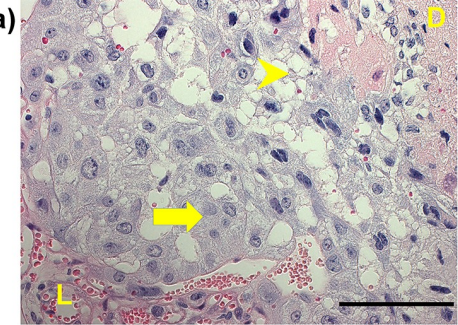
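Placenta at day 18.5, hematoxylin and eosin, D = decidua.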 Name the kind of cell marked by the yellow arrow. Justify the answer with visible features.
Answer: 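The arrow points into a compact mass of polygonal cells with round nuclei and pale purple cytoplasm. These cells lie between the decidua and the labyrinth. The answer: spongiotrophoblast cells.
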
